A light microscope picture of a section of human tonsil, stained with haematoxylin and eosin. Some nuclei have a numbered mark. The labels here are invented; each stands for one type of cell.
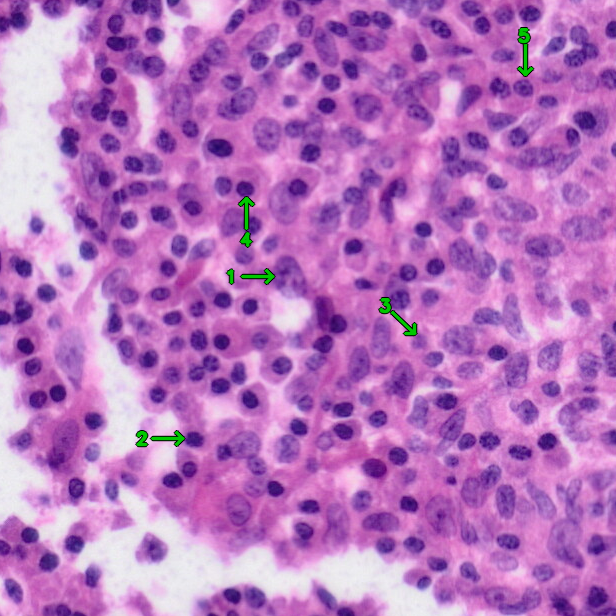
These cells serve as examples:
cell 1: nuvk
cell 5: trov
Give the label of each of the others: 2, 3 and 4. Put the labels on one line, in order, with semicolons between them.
trov; nuvk; trov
